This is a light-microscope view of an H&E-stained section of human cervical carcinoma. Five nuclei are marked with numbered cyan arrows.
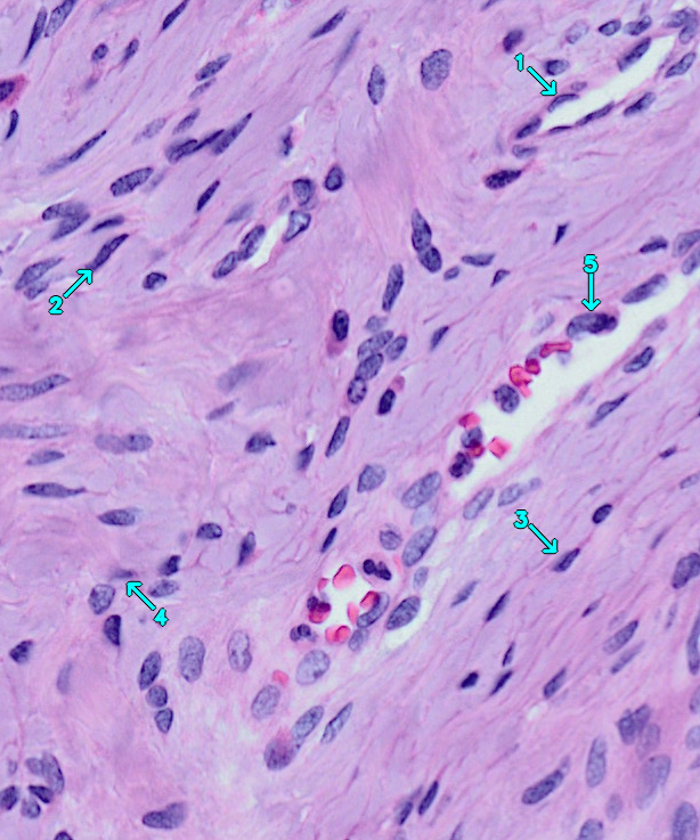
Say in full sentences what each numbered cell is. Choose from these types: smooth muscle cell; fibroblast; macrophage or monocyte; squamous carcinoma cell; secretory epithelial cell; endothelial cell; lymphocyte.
Cell 1 is an endothelial cell, cell 2 is a fibroblast, cell 3 is a fibroblast, cell 4 is a fibroblast and cell 5 is an endothelial cell.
